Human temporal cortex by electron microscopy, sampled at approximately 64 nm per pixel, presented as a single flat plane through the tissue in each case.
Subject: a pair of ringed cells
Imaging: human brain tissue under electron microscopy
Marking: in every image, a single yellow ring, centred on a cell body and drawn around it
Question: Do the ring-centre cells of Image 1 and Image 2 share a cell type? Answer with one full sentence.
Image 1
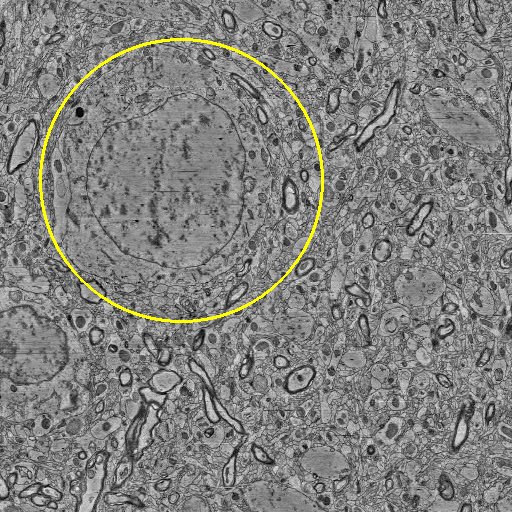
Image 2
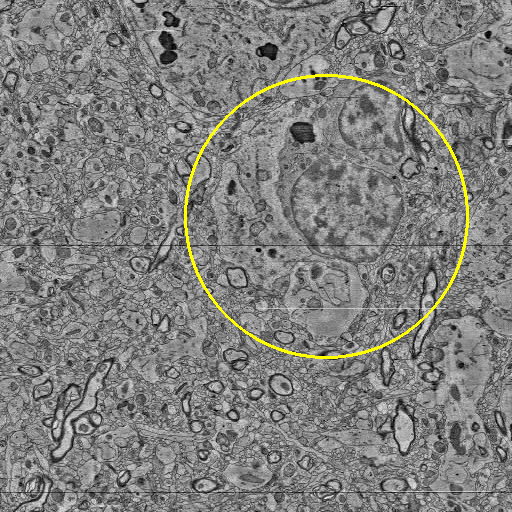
No, at the ring centres in the images sit cells of two separate types.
